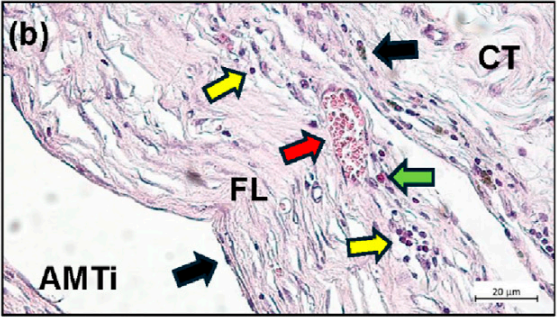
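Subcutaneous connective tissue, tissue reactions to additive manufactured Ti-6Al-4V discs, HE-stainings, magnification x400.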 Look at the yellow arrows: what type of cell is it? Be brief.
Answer: lymphocytes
